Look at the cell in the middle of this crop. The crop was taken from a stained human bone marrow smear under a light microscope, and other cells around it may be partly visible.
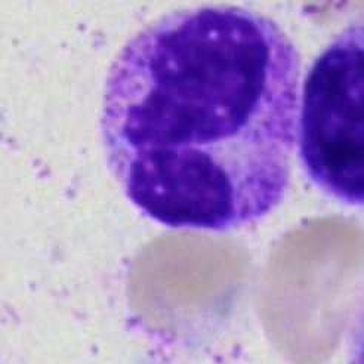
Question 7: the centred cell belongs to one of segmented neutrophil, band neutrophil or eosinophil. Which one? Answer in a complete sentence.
The cell at the central position in this crop is a segmented neutrophil.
